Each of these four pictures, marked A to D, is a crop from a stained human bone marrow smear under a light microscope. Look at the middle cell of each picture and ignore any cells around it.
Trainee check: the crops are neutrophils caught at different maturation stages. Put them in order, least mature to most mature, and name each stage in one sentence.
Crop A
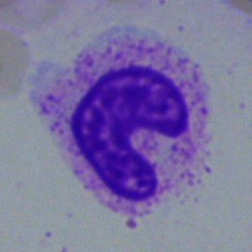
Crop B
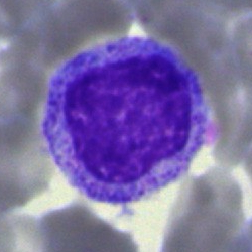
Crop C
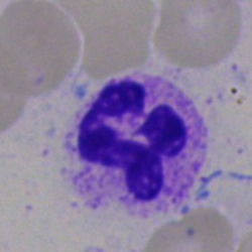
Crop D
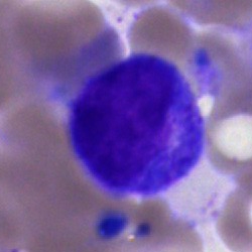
In order of rising maturity, the sequence is crop D (a promyelocyte), crop B (a myelocyte), crop A (a band neutrophil) and crop C (a segmented neutrophil).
